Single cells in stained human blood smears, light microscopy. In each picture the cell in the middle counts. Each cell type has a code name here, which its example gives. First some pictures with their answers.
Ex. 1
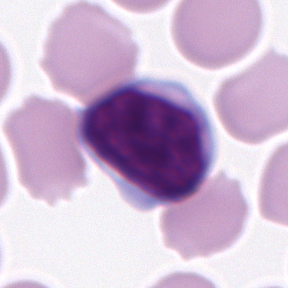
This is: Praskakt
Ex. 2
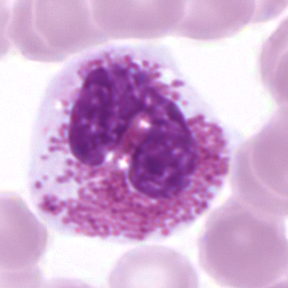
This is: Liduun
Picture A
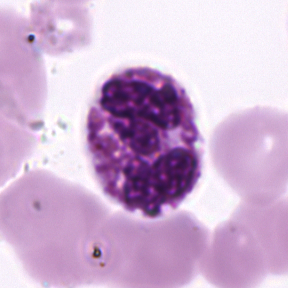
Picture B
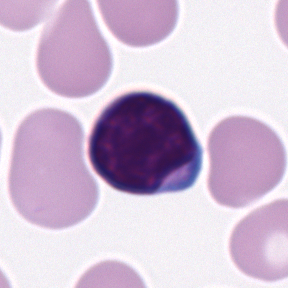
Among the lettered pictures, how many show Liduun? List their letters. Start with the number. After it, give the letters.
Count: 1 (A)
